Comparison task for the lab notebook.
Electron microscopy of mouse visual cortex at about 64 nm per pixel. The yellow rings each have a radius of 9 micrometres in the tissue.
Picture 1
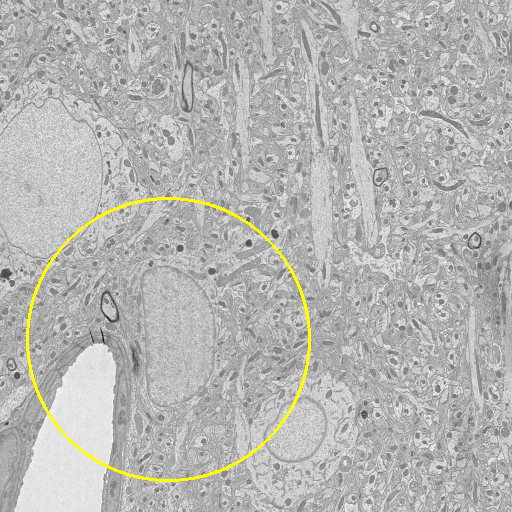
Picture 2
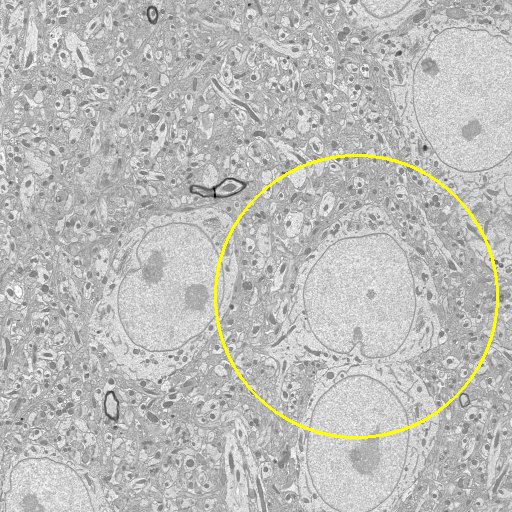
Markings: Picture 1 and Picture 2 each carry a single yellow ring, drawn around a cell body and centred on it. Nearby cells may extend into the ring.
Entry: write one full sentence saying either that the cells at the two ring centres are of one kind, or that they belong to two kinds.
The cells sitting at the ring centres in Picture 1 and Picture 2 belong to two kinds.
